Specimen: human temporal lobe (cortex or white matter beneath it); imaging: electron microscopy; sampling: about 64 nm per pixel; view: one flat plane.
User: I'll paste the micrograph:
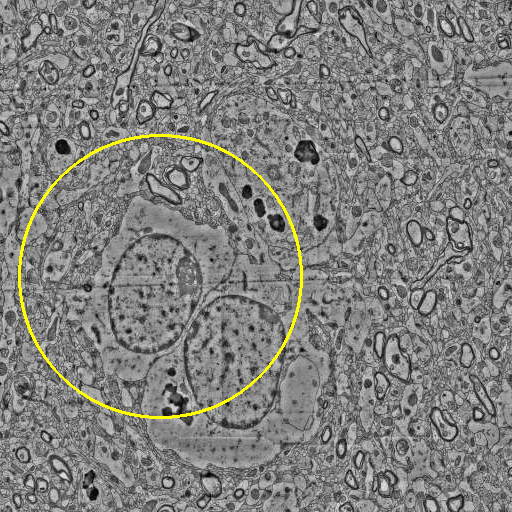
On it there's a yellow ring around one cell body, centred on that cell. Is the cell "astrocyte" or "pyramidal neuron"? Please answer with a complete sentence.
The cell ringed in yellow is an astrocyte.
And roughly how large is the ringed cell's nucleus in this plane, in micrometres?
In this plane the nucleus measures roughly 8 by 6 micrometers.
